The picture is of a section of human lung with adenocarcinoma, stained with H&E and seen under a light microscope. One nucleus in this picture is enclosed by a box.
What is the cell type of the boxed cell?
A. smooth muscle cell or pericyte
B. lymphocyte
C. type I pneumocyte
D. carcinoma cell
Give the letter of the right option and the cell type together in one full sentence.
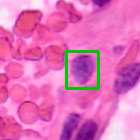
Option C matches the boxed cell, which is a type I pneumocyte.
